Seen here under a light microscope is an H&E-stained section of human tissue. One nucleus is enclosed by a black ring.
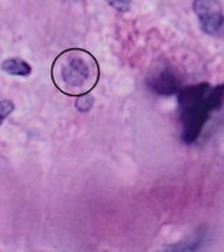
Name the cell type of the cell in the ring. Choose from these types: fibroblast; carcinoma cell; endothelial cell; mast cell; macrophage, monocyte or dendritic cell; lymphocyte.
macrophage, monocyte or dendritic cell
